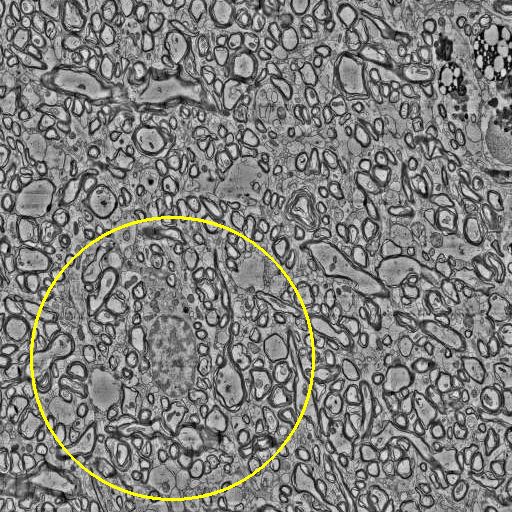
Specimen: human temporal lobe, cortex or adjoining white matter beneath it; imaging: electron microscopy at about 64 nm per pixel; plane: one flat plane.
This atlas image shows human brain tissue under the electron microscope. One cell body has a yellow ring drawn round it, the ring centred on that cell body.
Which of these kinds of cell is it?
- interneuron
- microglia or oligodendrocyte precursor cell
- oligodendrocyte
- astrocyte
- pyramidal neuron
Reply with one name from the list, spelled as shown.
oligodendrocyte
